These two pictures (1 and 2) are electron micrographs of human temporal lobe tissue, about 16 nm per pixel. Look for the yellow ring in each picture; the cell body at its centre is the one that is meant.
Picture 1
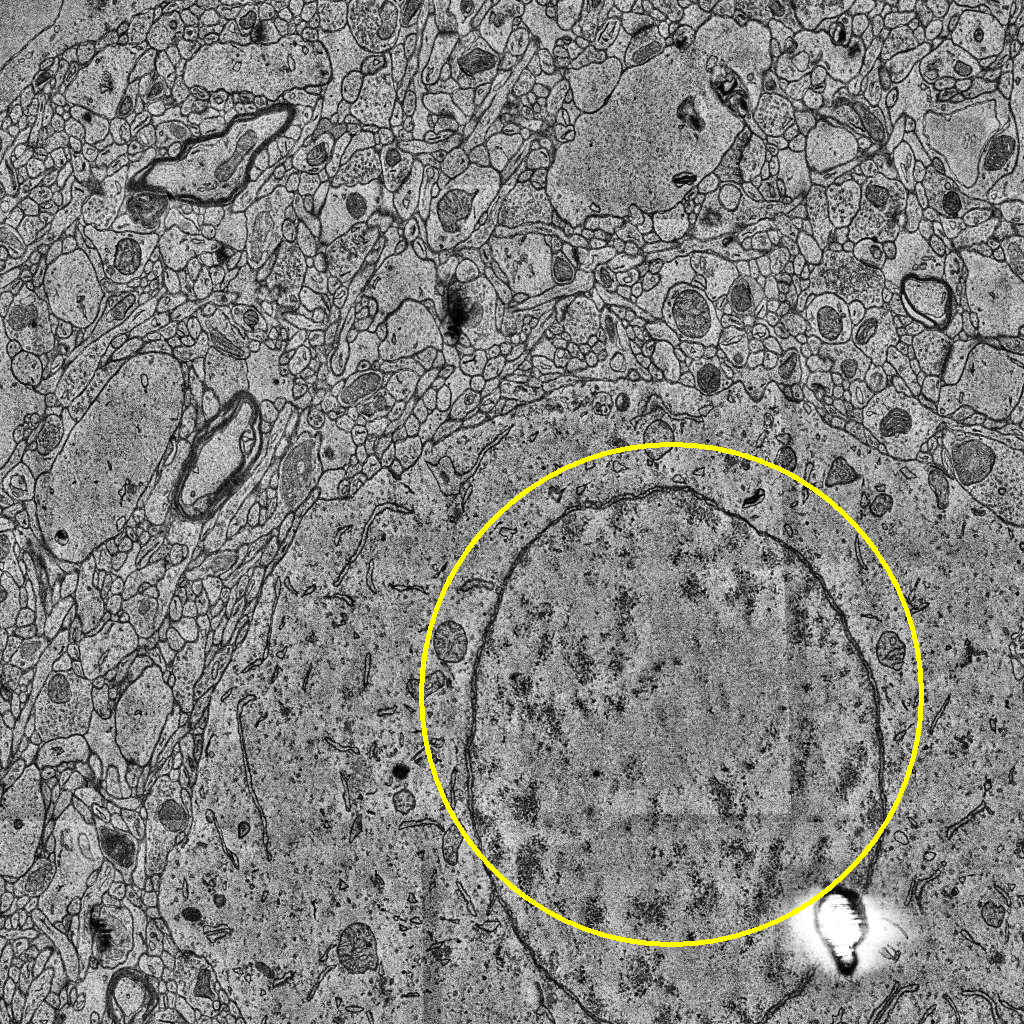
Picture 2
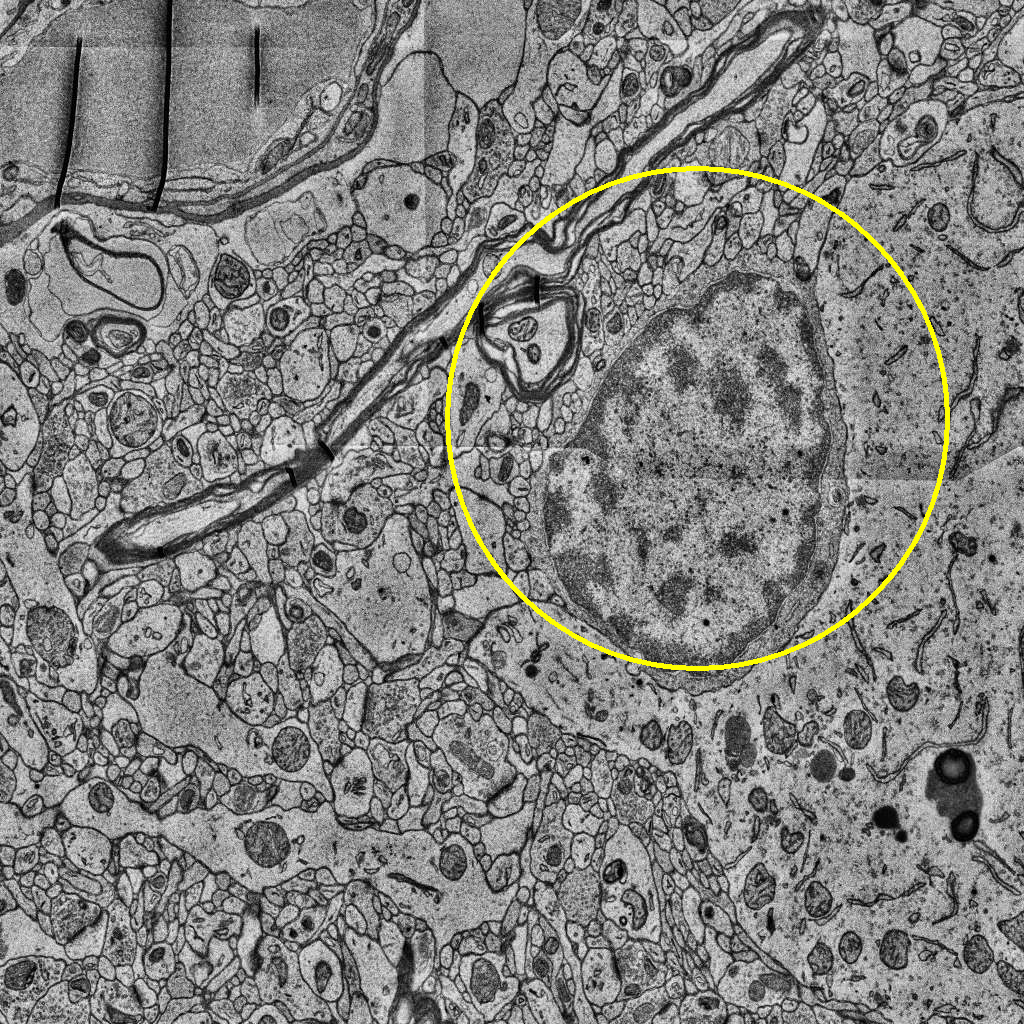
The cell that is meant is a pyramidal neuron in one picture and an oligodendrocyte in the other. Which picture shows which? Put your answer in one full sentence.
Picture 2 shows an oligodendrocyte, while picture 1 shows a pyramidal neuron.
